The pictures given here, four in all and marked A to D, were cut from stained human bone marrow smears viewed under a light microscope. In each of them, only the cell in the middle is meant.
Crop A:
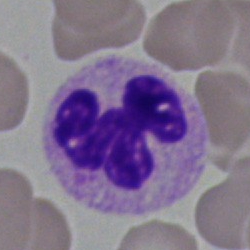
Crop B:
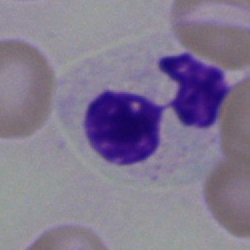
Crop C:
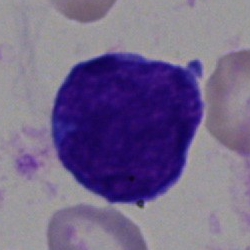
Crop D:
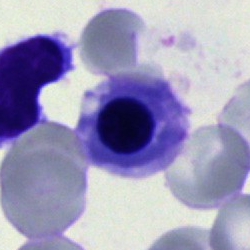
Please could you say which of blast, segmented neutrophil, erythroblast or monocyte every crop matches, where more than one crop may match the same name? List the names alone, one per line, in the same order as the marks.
segmented neutrophil
segmented neutrophil
blast
erythroblast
